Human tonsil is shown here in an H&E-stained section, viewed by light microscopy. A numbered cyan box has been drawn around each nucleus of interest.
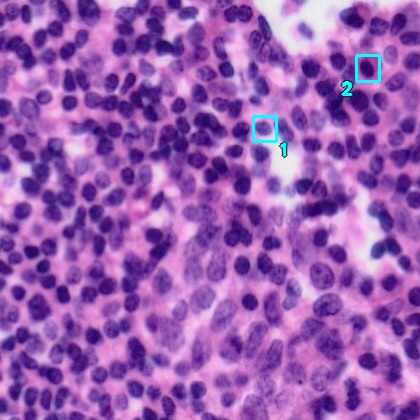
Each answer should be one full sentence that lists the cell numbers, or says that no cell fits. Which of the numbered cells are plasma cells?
Cell 2 is a plasma cell and is the only numbered cell of that kind.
